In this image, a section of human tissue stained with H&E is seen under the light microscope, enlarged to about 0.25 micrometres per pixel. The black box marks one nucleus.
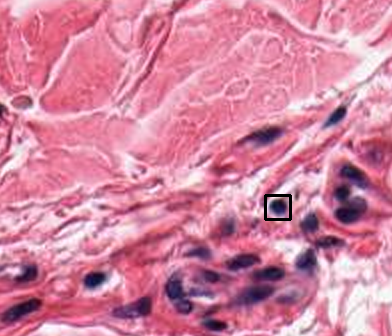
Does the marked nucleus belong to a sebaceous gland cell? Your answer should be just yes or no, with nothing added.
no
